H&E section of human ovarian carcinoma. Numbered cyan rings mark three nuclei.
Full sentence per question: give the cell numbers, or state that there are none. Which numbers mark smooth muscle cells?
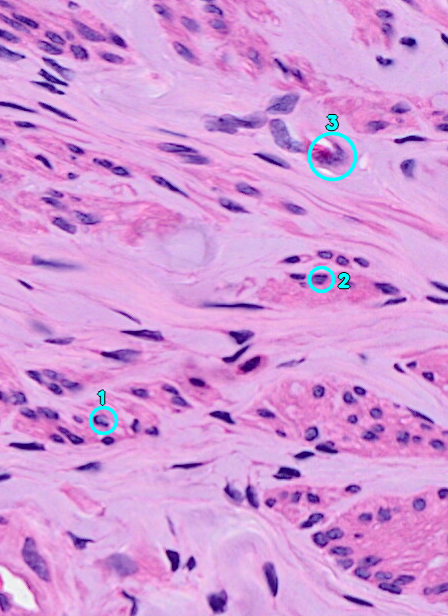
Cells 1 and 2 are of one type, namely smooth muscle cells.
